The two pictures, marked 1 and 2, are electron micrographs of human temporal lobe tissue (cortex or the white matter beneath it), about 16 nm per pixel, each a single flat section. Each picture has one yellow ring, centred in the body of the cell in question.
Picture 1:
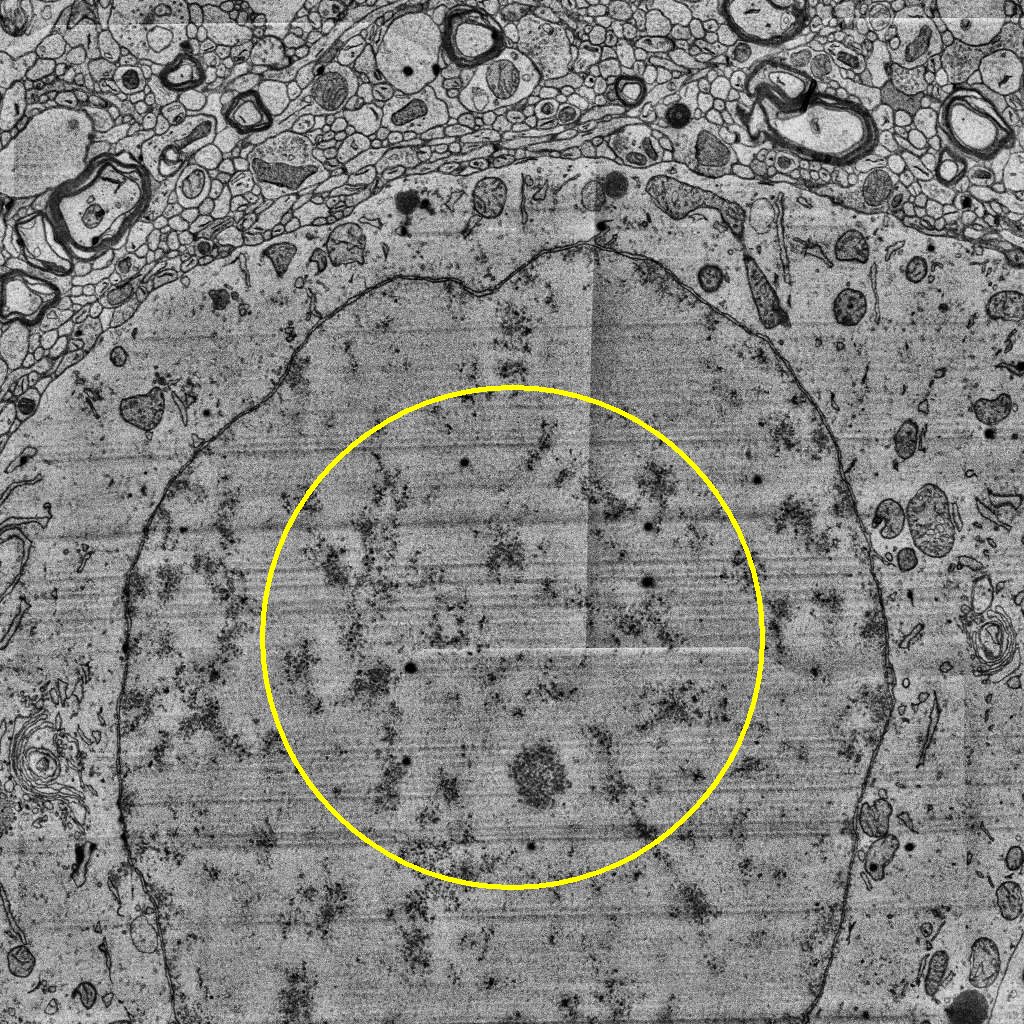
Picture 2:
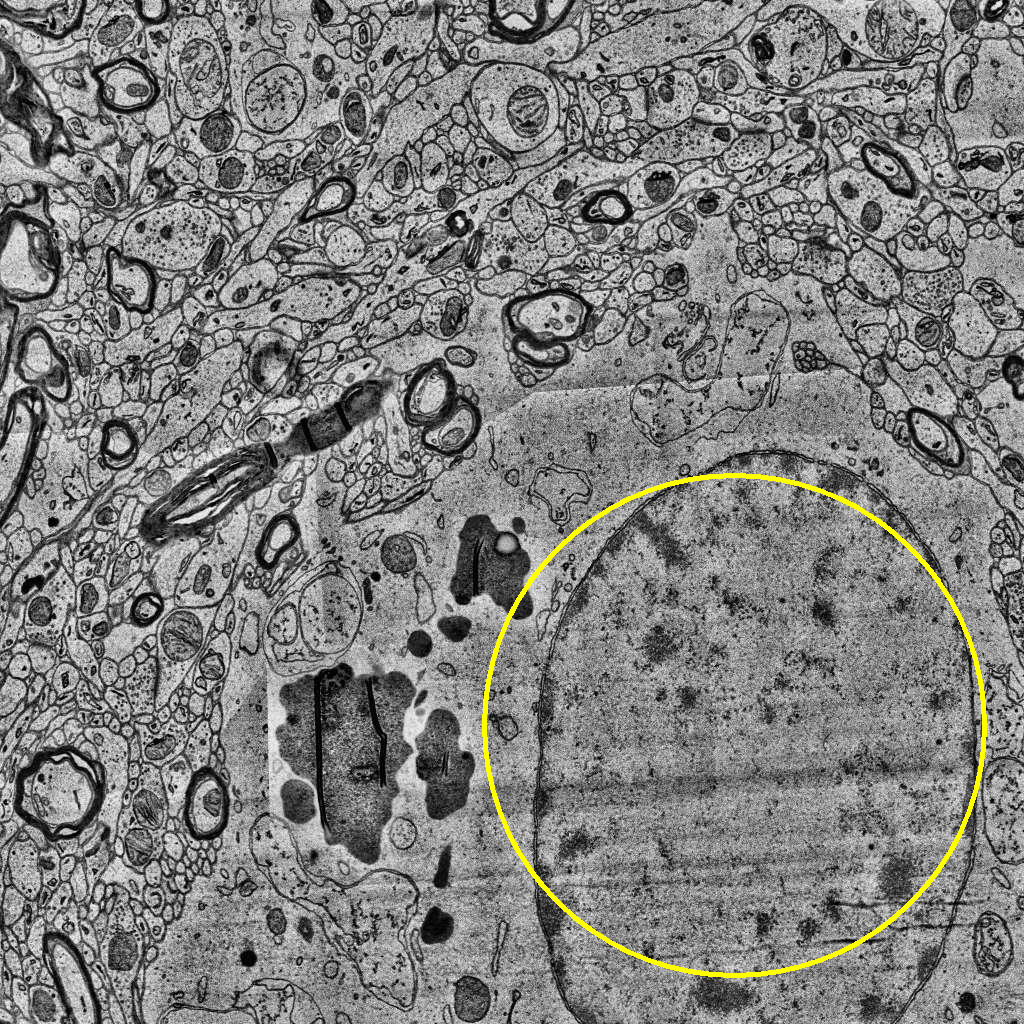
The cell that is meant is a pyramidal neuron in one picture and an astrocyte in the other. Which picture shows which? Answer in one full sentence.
Picture 2 shows an astrocyte, while picture 1 shows a pyramidal neuron.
